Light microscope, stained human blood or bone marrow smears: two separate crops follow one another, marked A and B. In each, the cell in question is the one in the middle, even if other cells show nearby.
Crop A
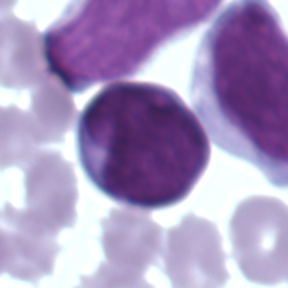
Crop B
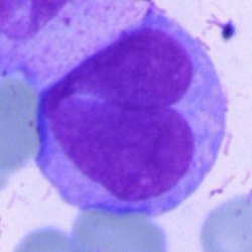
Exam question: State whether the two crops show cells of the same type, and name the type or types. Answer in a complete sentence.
Yes, both crops show blasts, and nothing else needs adding.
